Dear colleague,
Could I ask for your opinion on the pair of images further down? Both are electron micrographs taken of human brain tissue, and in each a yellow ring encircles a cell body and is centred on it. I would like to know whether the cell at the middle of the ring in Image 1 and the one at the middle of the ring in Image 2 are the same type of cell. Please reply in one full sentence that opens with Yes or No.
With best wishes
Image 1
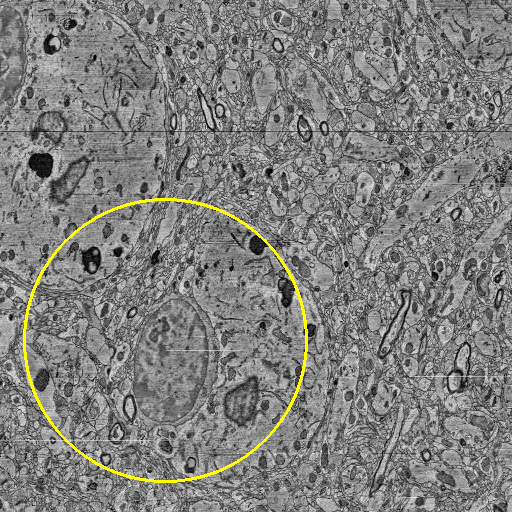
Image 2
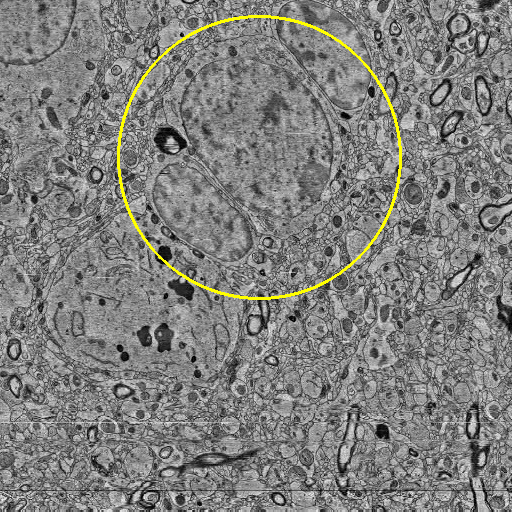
No, the cells at the ring centres in Image 1 and Image 2 are of two types.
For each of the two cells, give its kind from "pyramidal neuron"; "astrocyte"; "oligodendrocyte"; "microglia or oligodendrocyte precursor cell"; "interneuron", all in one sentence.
The first picture has an oligodendrocyte in its ring, the second has an interneuron.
